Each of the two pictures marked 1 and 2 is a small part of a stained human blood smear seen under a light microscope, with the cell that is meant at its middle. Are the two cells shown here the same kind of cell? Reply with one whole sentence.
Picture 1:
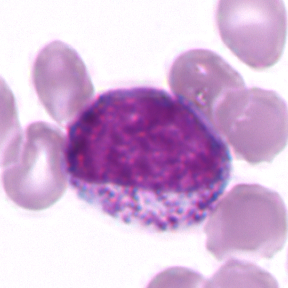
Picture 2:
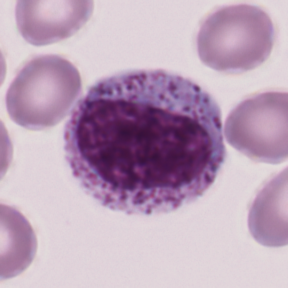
Yes, the two pictures both show metamyelocytes.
